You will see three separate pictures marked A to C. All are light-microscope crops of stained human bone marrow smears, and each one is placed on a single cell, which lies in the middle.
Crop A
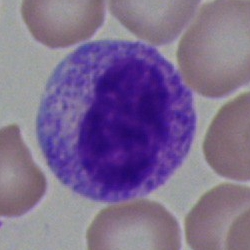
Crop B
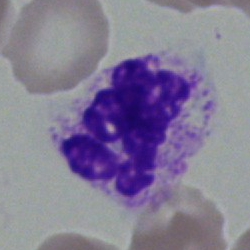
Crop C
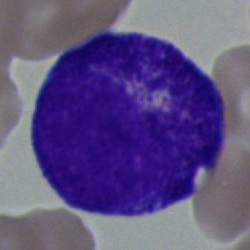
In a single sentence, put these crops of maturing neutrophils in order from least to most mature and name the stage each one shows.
Least to most mature, the crops line up as crop C (a promyelocyte), crop A (a myelocyte) and crop B (a segmented neutrophil).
